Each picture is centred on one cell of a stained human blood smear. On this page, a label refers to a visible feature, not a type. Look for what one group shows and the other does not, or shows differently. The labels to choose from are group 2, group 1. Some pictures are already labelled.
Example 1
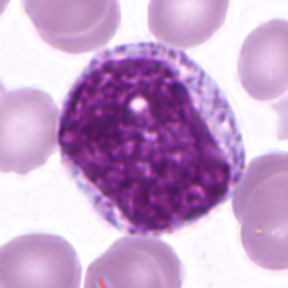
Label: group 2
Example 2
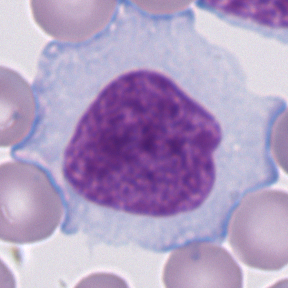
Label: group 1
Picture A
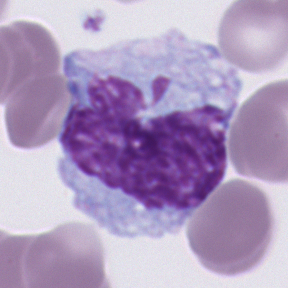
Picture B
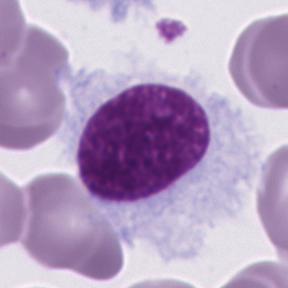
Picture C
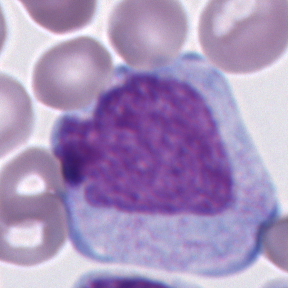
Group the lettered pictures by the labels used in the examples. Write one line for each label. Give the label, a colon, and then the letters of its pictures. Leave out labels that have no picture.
group 1: A, B, C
